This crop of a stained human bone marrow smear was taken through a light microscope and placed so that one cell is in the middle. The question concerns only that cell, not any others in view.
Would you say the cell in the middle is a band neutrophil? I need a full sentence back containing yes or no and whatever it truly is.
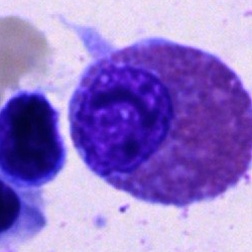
No, an eosinophil, not a band neutrophil, is what sits in the centre of the crop.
